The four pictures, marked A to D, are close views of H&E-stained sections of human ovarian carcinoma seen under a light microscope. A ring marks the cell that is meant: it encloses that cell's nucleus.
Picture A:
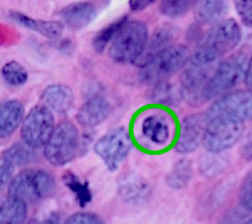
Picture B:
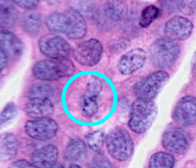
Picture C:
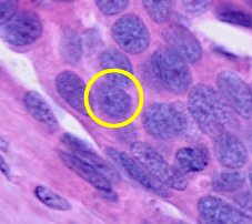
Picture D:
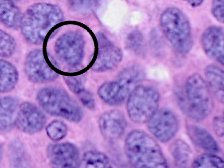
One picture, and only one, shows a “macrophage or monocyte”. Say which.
B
